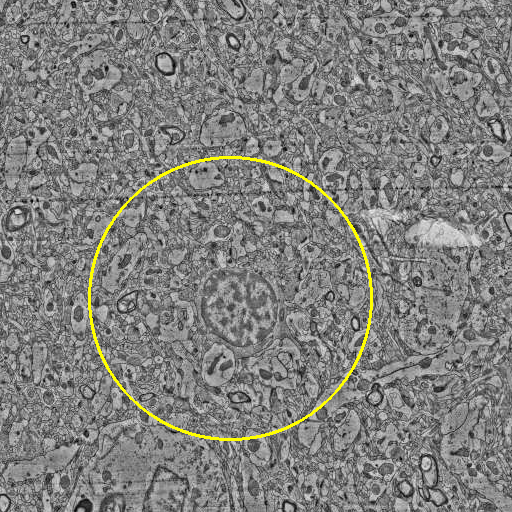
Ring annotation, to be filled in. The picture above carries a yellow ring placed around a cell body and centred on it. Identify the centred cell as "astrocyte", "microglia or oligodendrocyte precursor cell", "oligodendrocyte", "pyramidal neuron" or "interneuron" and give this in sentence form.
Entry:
The cell in the middle of the ring is an oligodendrocyte.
